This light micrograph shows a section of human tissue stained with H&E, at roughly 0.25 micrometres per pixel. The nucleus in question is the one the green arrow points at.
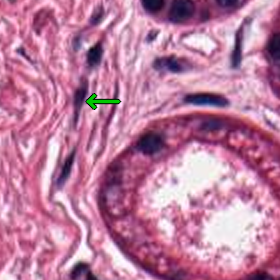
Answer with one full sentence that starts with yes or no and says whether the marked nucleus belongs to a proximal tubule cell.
No, the marked nucleus is found in a supporting cell instead of in a proximal tubule cell.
